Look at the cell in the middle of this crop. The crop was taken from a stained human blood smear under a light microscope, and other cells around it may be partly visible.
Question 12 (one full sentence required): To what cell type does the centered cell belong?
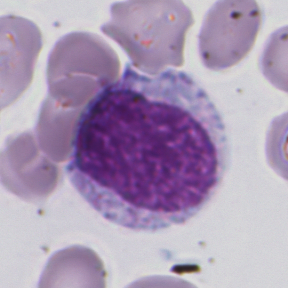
Seen at the centre of the crop is a myelocyte.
